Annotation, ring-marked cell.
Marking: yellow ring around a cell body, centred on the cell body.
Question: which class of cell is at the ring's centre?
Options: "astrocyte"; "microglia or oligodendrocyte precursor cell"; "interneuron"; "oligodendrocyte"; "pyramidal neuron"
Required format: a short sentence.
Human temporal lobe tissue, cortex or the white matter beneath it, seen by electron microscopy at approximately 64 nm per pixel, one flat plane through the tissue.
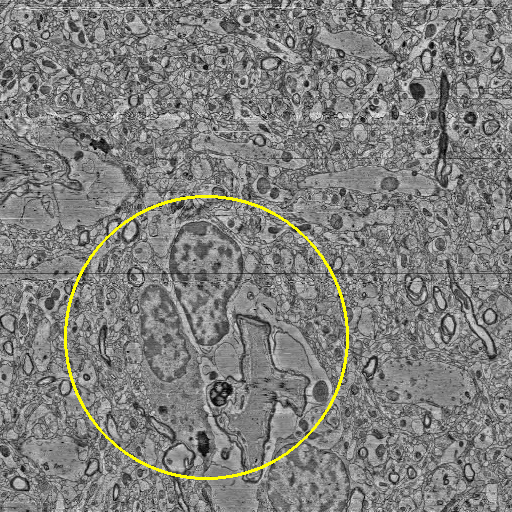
At the ring's centre is a microglial cell or oligodendrocyte precursor cell.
